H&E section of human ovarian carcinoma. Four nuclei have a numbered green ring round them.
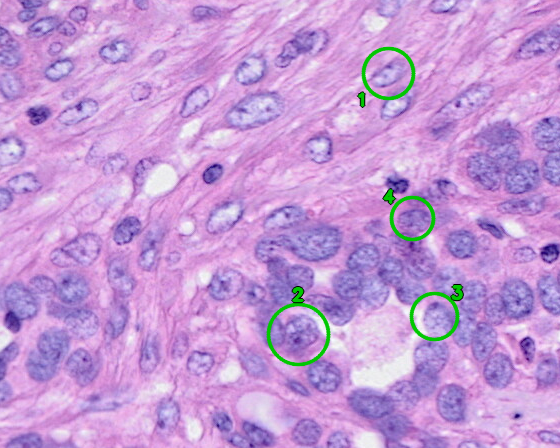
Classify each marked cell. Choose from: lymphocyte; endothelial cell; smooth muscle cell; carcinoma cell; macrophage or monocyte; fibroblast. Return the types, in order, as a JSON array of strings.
["fibroblast", "carcinoma cell", "carcinoma cell", "carcinoma cell"]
